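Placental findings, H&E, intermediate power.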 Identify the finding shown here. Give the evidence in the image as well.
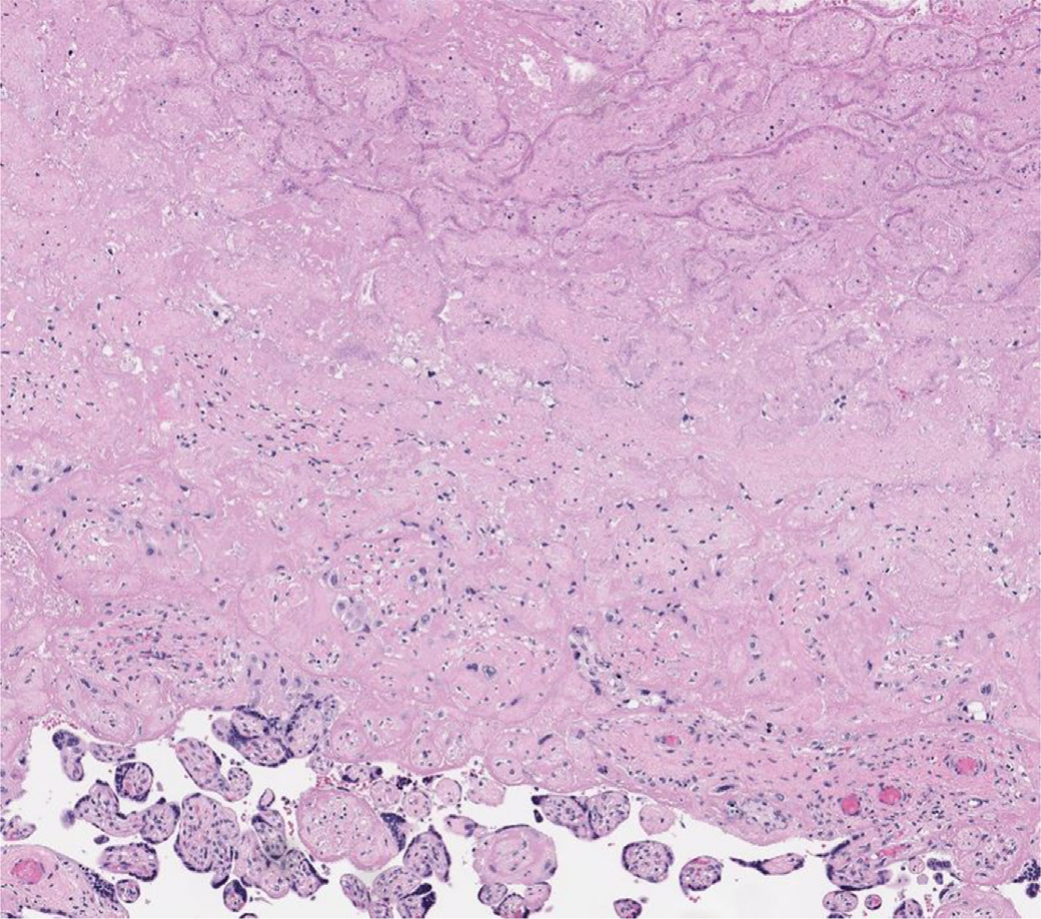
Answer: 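The upper and middle parts are pale pink with villous outlines crowded together and no open spaces between them. Villi in this area have few nuclei and no red-filled vessels. Scattered small dark nuclear fragments lie in the pale area. A sharp boundary separates this area from open space with free villi at the bottom.
Conclusion: villous infarct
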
